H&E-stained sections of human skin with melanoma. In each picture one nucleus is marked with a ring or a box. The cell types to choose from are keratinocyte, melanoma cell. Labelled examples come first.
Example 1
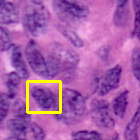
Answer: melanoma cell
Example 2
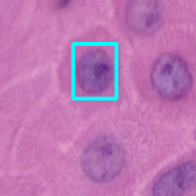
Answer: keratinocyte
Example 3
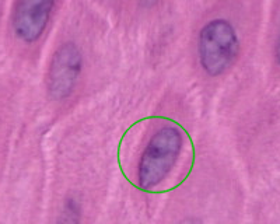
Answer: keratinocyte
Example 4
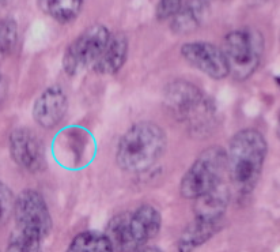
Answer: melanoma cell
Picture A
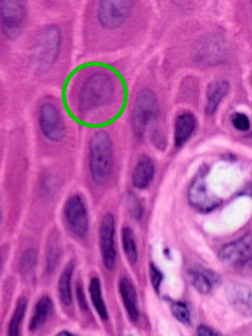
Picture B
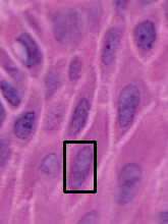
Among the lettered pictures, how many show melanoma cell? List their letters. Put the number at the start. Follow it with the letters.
0, none of them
